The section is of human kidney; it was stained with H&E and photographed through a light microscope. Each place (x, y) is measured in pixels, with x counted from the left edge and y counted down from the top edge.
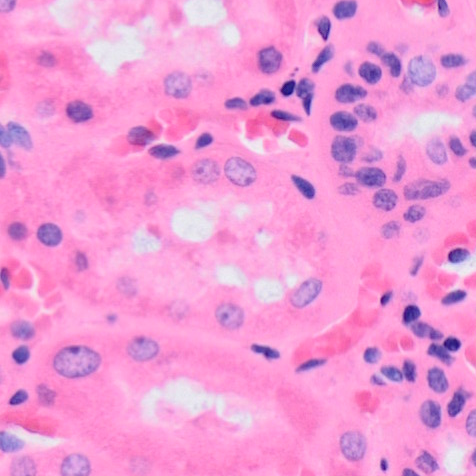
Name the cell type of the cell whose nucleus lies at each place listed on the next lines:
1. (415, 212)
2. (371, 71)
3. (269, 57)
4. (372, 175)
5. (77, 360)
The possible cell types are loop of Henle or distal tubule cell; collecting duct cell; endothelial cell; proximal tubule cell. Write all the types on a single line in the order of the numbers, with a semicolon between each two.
collecting duct cell; collecting duct cell; proximal tubule cell; collecting duct cell; proximal tubule cell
